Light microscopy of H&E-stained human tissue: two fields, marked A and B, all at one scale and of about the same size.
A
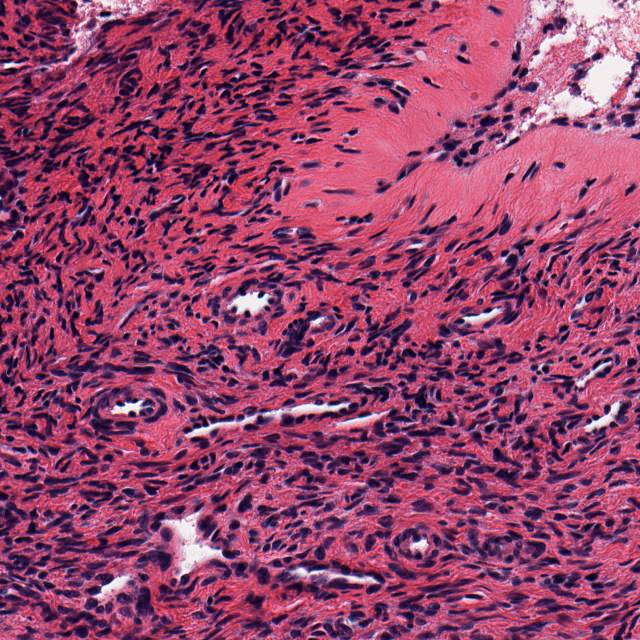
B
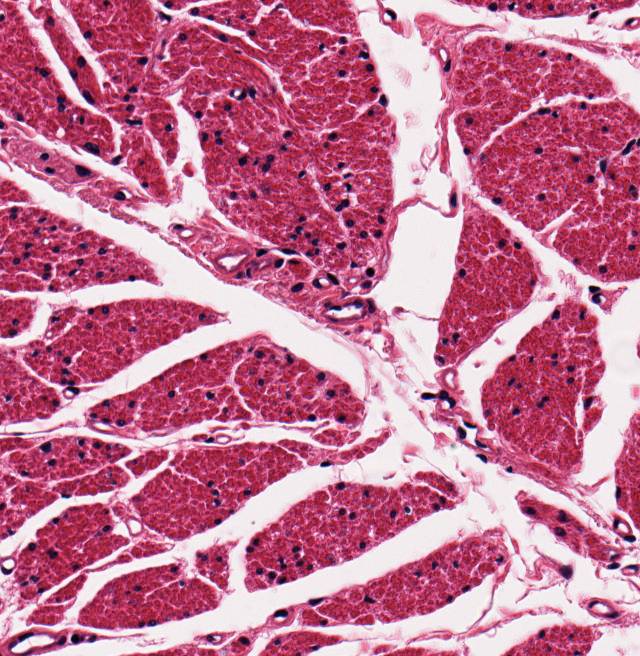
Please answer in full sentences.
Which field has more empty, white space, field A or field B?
Field B has more white space.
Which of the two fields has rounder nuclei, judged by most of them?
It is field B whose nuclei are the rounder.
